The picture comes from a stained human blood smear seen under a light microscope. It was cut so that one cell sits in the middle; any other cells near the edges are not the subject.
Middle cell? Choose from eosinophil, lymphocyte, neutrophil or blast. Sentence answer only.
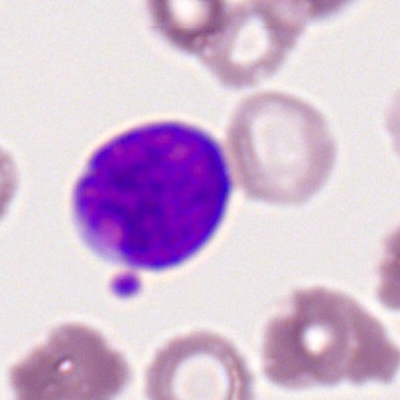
Present in the middle of the crop is a blast.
